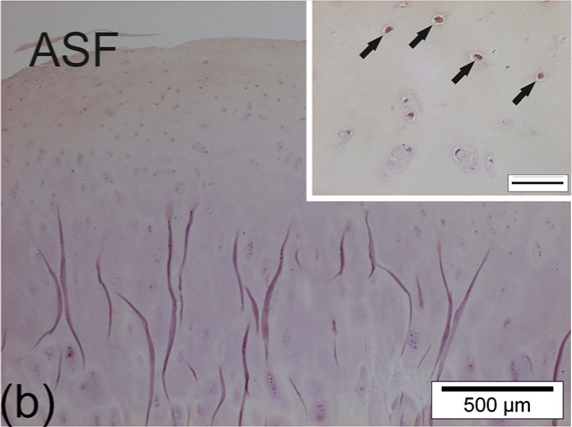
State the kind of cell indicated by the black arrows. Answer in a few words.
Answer: Chondrocytes.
